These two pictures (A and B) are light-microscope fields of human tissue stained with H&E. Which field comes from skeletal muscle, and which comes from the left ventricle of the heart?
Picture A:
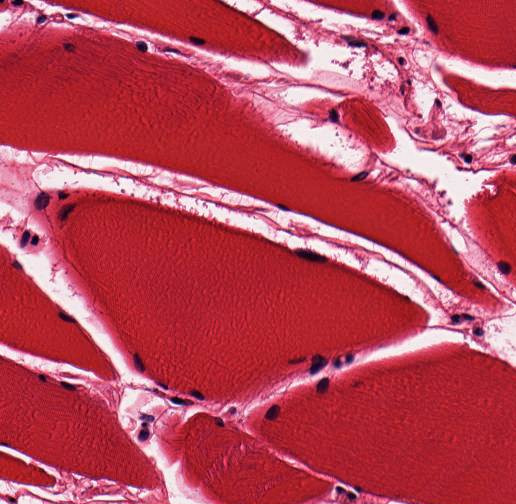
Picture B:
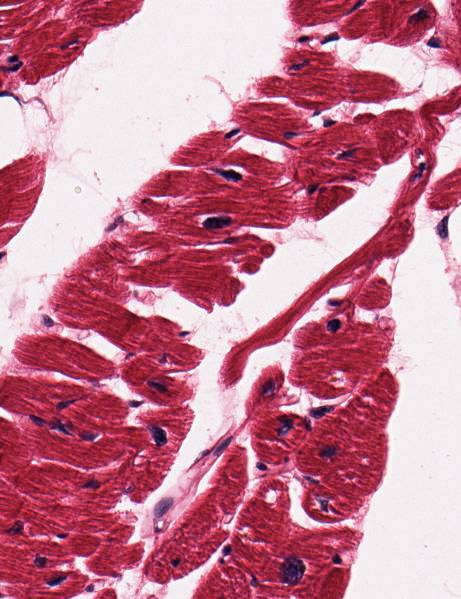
A: skeletal muscle
B: left ventricle of the heart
